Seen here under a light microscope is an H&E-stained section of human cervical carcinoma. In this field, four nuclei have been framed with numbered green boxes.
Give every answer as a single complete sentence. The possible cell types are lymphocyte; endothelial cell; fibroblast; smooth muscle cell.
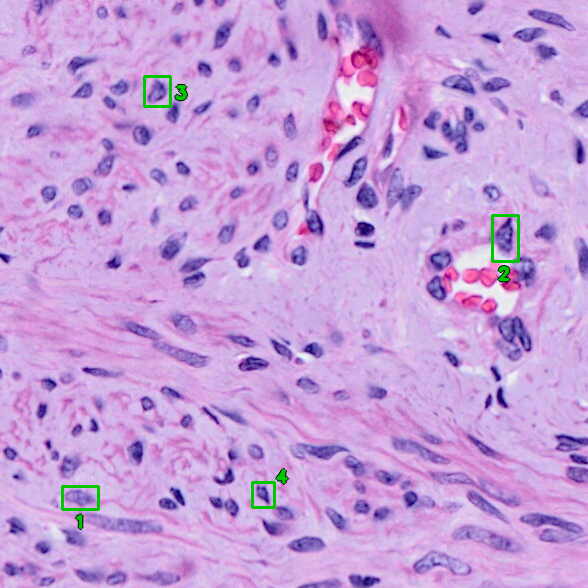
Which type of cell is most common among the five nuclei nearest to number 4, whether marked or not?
Smooth muscle cells make up most of the five nuclei closest to number 4.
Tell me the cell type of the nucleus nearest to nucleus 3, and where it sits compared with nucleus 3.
The nearest one is a fibroblast, found below and to the right of nucleus 3.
